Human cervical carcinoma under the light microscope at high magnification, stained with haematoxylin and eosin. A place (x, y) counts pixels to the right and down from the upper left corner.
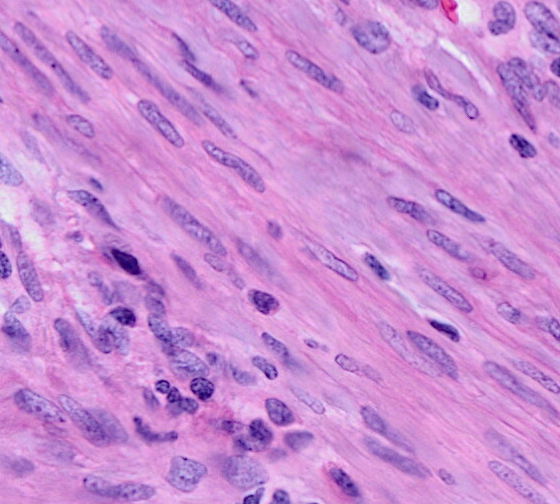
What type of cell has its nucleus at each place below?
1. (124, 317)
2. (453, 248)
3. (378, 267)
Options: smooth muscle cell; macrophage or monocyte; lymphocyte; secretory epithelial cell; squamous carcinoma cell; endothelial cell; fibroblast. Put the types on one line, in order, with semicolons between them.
lymphocyte; smooth muscle cell; lymphocyte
